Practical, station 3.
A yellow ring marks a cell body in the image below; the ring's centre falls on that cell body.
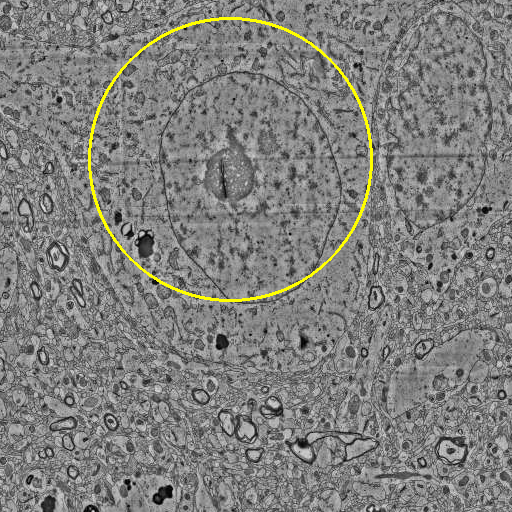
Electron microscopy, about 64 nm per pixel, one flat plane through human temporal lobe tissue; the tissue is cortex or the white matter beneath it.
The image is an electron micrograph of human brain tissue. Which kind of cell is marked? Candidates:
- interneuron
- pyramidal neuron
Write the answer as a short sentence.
The marked cell body is that of a pyramidal neuron.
